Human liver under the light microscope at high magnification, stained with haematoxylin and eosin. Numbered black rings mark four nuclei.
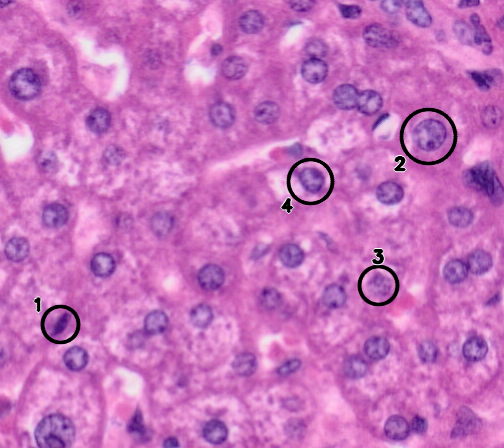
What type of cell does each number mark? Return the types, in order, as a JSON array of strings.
["fibroblast or stellate cell", "hepatocyte", "hepatocyte", "hepatocyte"]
